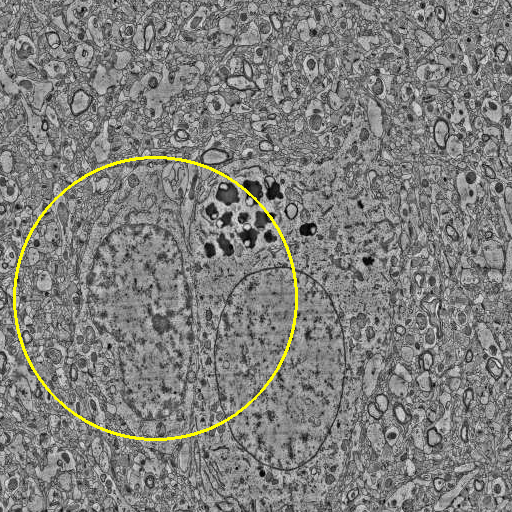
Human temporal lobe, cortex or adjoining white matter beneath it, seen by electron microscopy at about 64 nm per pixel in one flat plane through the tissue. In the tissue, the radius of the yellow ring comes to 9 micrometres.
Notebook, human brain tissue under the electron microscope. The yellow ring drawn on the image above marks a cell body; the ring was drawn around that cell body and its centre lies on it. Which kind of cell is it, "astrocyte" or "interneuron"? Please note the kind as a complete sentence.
The marked cell body is that of an interneuron.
